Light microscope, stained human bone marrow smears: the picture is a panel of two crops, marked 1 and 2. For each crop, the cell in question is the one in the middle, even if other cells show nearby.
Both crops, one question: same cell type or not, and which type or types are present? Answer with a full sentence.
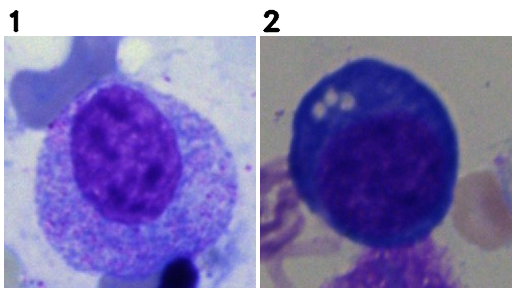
No, enter a promyelocyte for crop 1 and a proerythroblast for crop 2.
